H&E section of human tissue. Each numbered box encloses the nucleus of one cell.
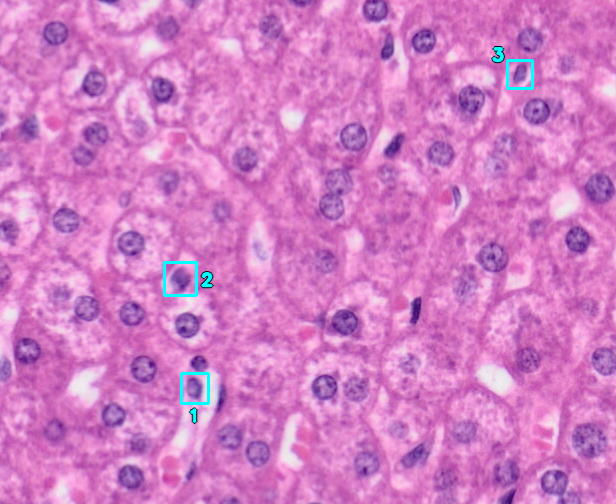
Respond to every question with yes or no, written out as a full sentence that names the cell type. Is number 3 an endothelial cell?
No, number 3 is assigned to a lymphocyte, not to an endothelial cell.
